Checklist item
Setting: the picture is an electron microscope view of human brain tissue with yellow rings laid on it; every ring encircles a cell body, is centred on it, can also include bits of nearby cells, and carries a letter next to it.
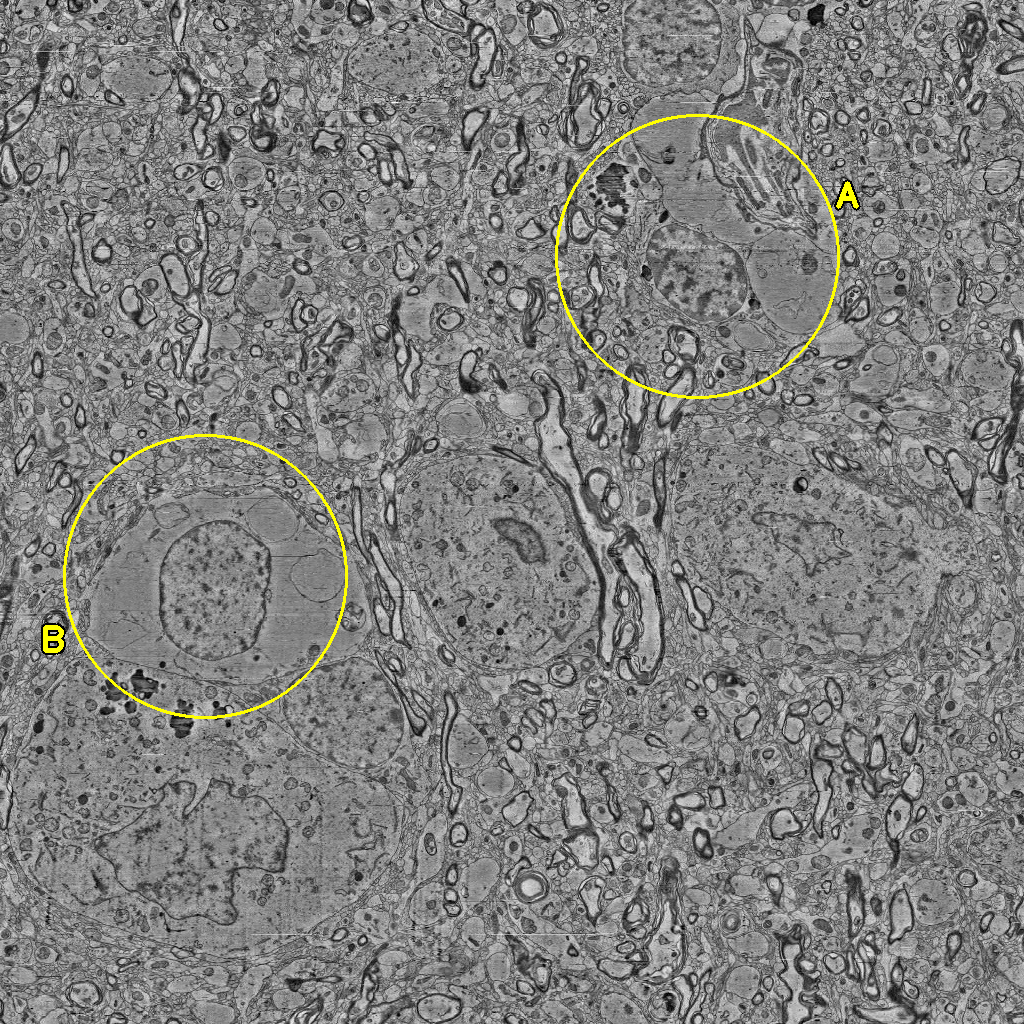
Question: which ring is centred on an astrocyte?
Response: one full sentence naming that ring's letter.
My response is that ring B has the sought cell at its centre.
